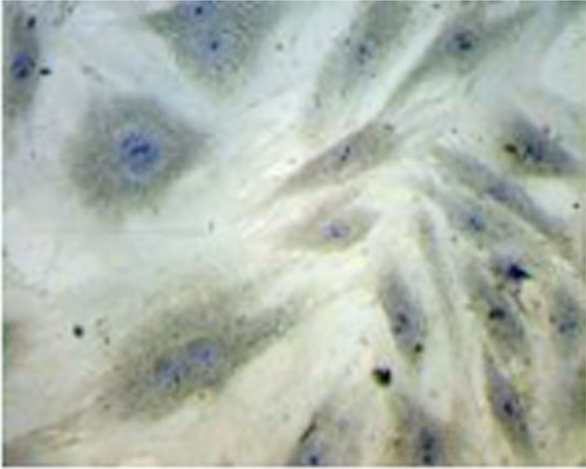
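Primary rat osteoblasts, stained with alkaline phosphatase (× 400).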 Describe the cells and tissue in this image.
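The cytoplasm around the nucleus holds a diffuse, finely granular grey staining that fades toward the thin cell margins. The broad cells are spread flat, with poorly defined edges. Small dark granules and specks are scattered over the cells and the background.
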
